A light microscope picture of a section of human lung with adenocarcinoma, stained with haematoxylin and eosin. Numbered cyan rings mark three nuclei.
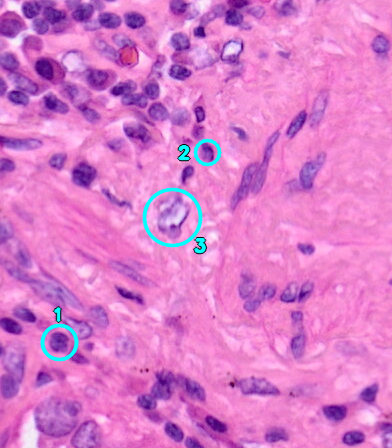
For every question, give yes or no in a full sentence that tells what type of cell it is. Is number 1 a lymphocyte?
Yes, number 1 marks a cell that is a lymphocyte.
